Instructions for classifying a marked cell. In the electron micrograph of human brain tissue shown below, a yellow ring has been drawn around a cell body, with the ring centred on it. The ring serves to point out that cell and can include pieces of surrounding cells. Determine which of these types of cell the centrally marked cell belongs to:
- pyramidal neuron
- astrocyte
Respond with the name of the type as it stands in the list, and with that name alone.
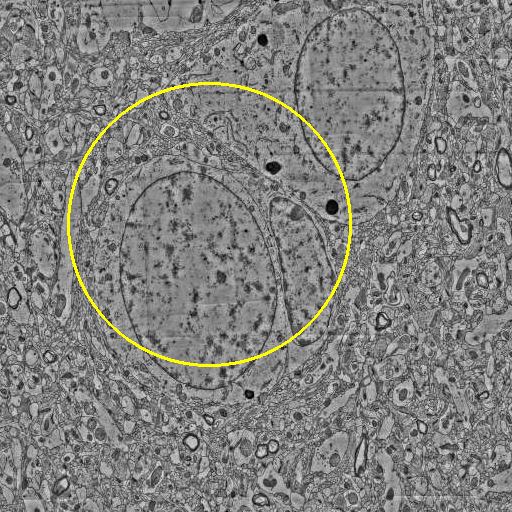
pyramidal neuron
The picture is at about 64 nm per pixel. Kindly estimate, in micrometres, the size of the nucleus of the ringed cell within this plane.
Roughly 14 micrometres across for the nucleus, in this plane.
